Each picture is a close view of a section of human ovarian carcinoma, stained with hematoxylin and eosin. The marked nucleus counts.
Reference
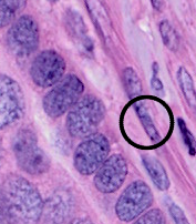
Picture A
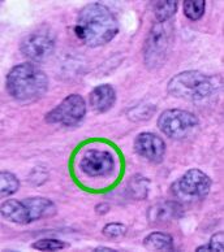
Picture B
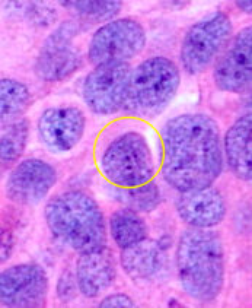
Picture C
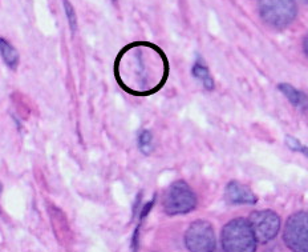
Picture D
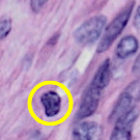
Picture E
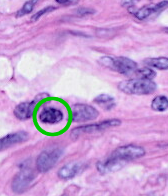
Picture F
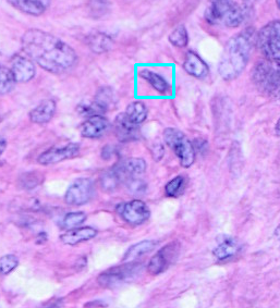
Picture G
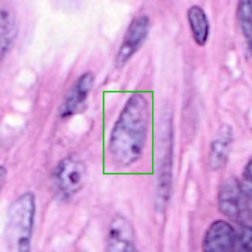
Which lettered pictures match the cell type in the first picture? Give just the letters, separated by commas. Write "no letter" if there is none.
C, F, G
